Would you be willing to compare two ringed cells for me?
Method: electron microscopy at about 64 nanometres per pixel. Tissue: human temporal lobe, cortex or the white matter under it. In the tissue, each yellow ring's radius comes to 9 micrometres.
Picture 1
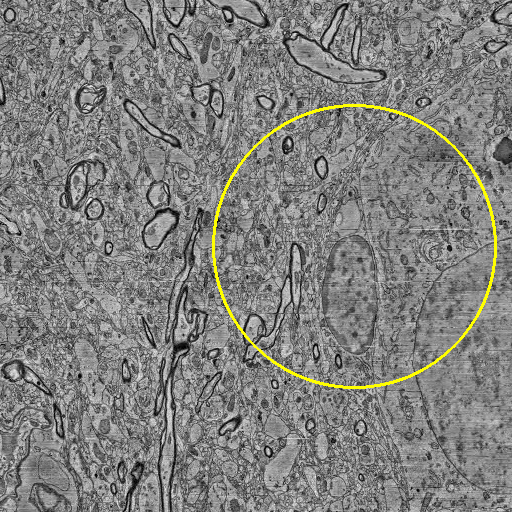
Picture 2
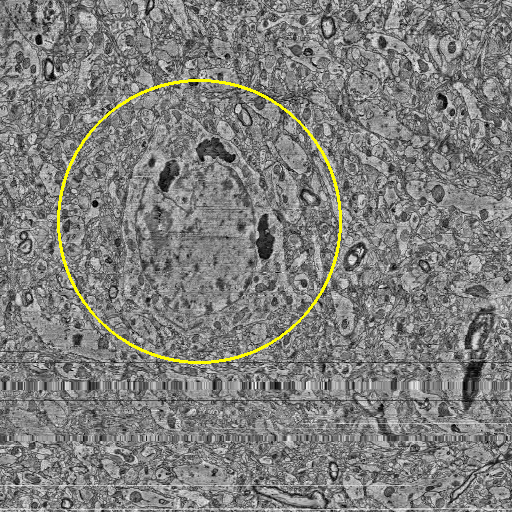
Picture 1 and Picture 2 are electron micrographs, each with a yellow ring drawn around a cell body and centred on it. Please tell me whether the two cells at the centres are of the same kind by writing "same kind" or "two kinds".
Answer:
two kinds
